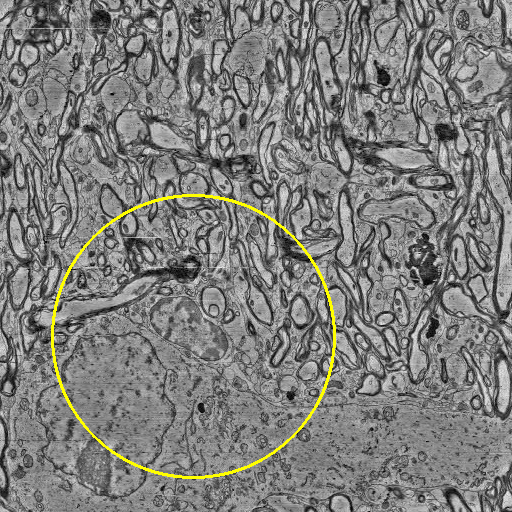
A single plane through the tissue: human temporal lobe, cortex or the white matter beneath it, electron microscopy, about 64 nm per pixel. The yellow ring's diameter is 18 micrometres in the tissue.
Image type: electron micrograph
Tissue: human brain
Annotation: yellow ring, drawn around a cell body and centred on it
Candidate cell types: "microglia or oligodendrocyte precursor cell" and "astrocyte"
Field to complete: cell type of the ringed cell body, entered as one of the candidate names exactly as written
microglia or oligodendrocyte precursor cell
